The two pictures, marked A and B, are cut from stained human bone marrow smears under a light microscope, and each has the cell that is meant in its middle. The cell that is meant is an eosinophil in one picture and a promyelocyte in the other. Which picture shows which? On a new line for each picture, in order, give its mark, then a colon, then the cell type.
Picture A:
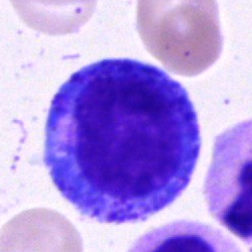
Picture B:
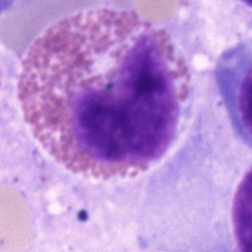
A: promyelocyte
B: eosinophil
